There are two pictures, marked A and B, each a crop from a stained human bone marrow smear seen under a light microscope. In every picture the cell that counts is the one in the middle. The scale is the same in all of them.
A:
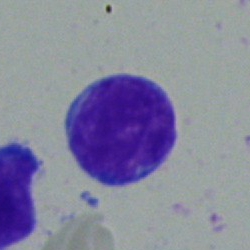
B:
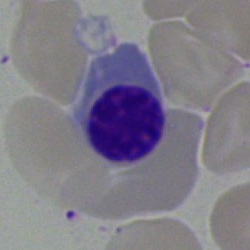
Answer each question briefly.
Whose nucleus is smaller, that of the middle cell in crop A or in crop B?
B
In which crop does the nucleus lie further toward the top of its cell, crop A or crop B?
A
